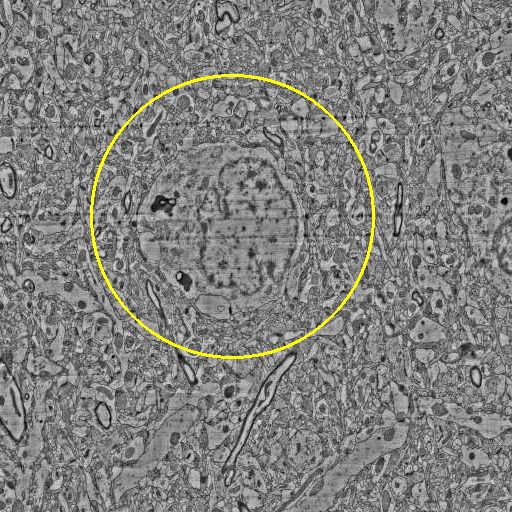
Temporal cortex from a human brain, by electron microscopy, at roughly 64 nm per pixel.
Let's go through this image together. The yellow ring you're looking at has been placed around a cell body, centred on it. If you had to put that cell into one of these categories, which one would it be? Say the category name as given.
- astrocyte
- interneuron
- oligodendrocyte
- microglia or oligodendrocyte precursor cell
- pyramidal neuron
interneuron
